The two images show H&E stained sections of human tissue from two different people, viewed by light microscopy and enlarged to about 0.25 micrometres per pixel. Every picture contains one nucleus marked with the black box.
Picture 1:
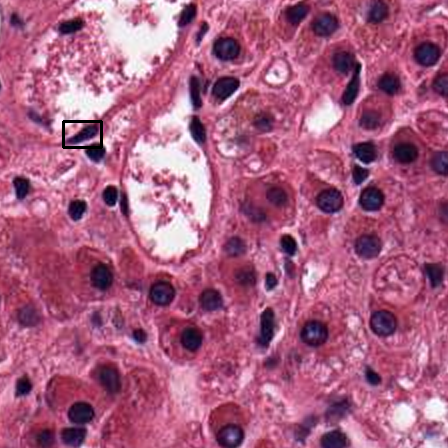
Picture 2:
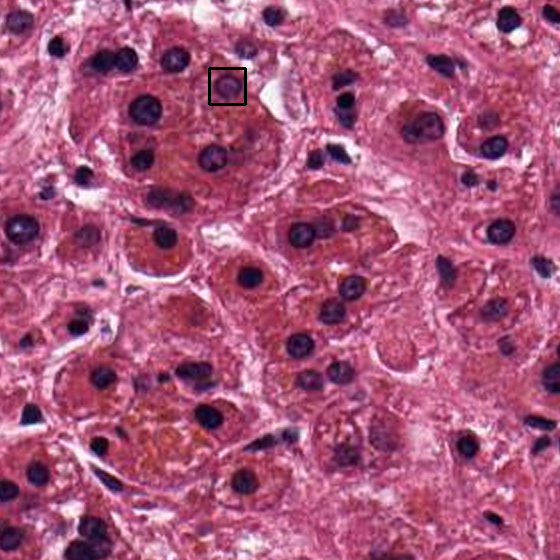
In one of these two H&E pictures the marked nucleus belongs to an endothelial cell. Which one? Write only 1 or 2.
1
